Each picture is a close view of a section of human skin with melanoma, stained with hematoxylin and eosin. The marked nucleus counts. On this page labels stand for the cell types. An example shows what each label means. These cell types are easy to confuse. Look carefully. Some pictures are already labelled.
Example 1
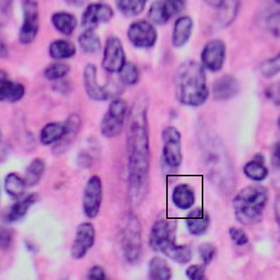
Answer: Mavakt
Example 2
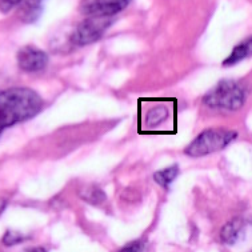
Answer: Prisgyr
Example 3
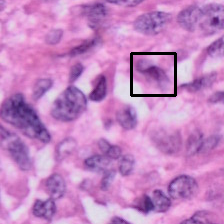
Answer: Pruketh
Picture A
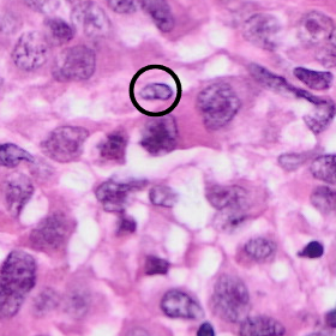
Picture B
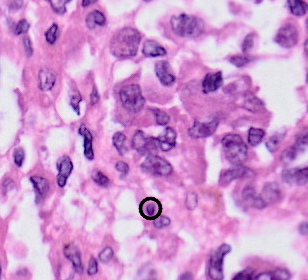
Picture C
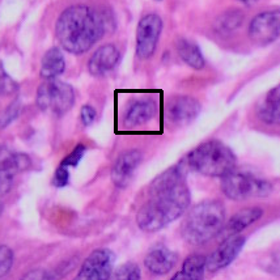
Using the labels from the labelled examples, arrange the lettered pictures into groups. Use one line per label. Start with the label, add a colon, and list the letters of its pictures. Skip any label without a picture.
Prisgyr: A, B
Pruketh: C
